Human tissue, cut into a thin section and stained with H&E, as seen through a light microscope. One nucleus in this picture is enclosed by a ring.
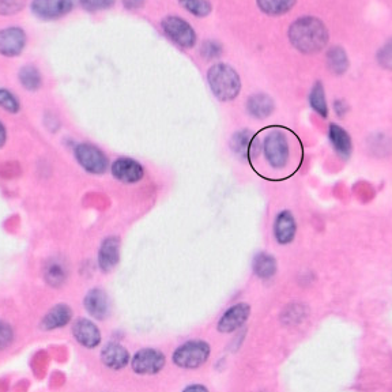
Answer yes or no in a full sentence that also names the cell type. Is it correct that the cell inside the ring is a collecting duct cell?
Yes, in short, the cell inside the ring is a collecting duct cell here.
